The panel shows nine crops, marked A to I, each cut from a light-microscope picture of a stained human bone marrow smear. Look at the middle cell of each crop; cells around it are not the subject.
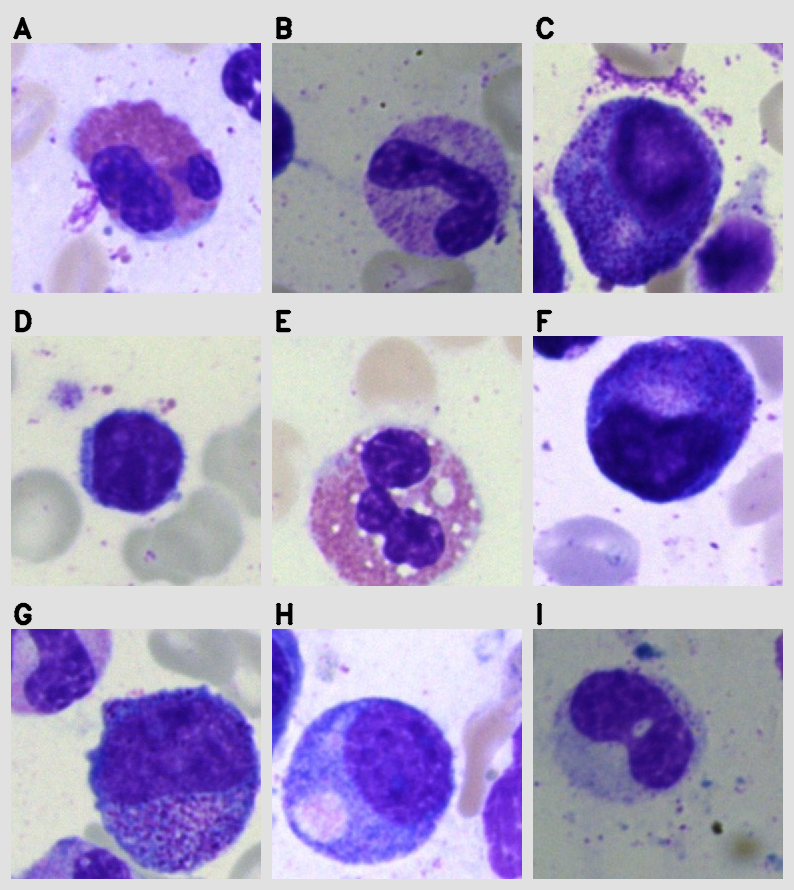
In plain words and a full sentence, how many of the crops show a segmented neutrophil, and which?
As segmented neutrophils are not shown in any crop, the count is zero.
